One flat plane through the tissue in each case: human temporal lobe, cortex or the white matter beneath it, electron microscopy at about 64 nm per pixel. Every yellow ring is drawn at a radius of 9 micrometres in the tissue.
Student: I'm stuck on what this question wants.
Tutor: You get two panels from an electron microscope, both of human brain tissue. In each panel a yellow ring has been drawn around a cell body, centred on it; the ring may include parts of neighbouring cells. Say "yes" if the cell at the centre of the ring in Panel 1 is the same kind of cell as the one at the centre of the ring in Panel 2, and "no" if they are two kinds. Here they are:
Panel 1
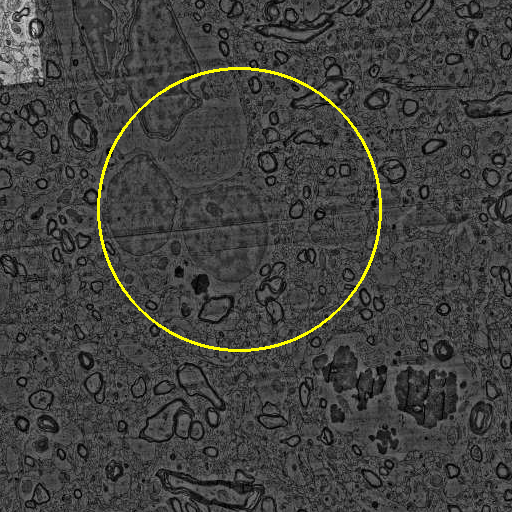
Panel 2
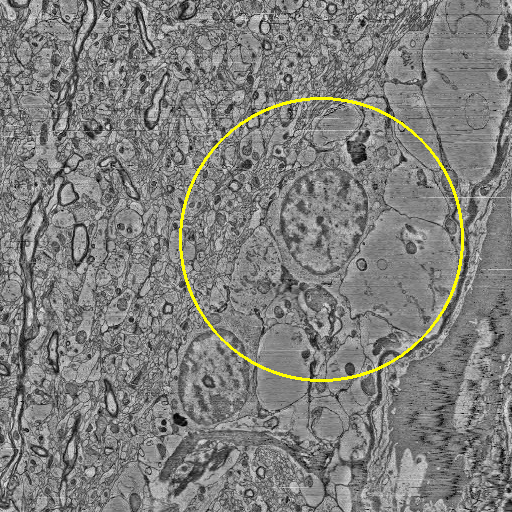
yes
